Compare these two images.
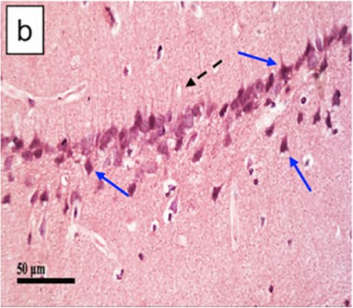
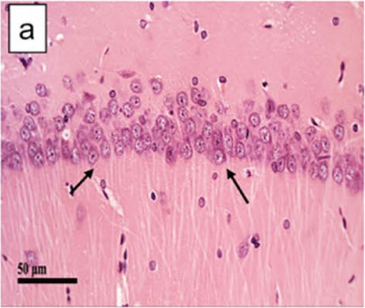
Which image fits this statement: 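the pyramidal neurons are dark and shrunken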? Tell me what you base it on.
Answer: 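First image: the cell band is thin, with many small angular deep purple cells. Second image: the band is thick and even, cells with round pale nuclei and clear nucleoli.
Conclusion: the first image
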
